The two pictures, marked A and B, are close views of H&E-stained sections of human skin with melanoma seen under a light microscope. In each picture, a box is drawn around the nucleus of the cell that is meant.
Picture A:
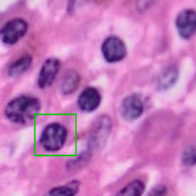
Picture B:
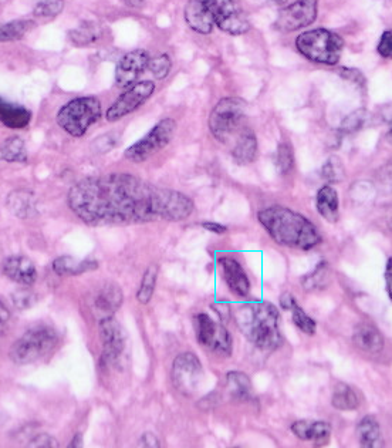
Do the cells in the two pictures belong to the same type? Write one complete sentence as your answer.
No. Picture A shows a plasma cell, but picture B shows a melanoma cell.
